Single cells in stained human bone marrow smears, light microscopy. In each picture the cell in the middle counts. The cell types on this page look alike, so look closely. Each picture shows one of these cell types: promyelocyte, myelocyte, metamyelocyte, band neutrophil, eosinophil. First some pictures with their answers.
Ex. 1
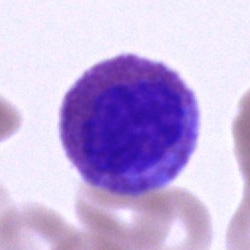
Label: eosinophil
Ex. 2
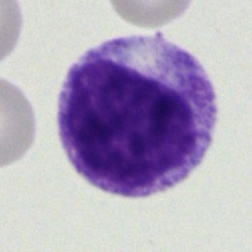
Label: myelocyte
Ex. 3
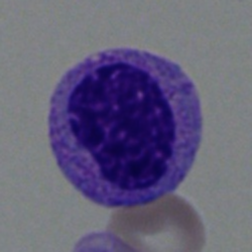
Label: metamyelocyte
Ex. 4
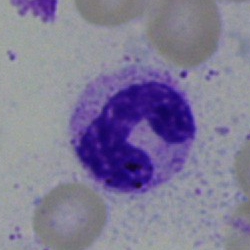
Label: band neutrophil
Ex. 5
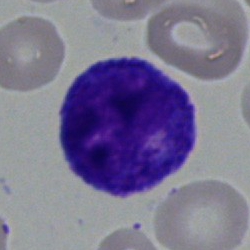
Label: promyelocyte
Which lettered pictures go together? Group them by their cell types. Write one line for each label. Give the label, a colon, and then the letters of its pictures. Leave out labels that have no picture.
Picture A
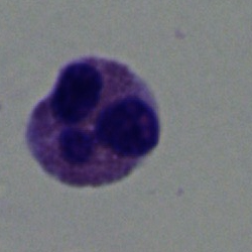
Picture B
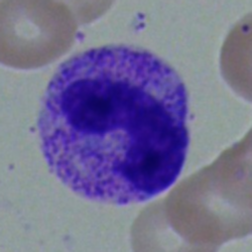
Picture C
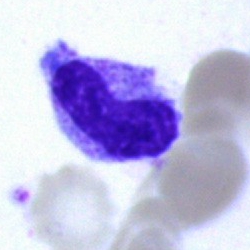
band neutrophil: B, C
eosinophil: A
